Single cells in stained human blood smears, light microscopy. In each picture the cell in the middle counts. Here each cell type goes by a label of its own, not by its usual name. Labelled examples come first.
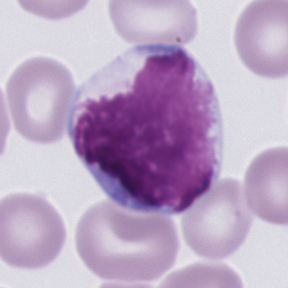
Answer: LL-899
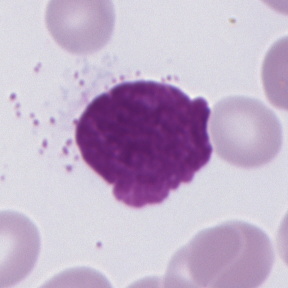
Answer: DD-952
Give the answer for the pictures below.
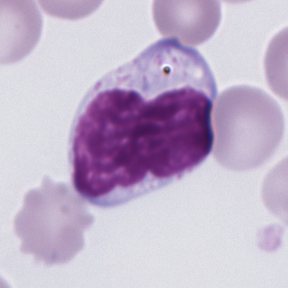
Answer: LL-899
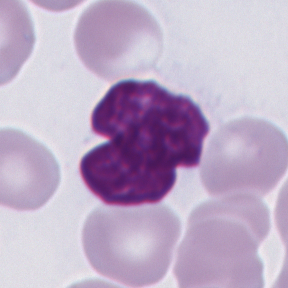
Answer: DD-952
